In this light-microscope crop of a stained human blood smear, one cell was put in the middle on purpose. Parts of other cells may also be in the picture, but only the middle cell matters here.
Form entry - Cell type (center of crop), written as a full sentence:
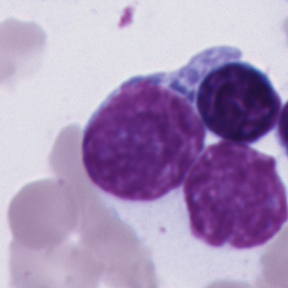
The cell shown in the center of this light-microscope crop is a blast.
